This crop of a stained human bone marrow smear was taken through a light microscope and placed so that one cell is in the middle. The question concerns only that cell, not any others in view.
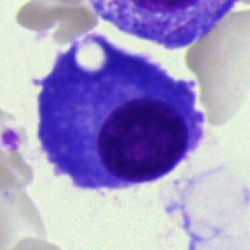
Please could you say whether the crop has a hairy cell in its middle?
no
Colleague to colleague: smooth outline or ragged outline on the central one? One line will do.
The cytoplasmic margin is uneven, whether through ragged segments or through projections.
